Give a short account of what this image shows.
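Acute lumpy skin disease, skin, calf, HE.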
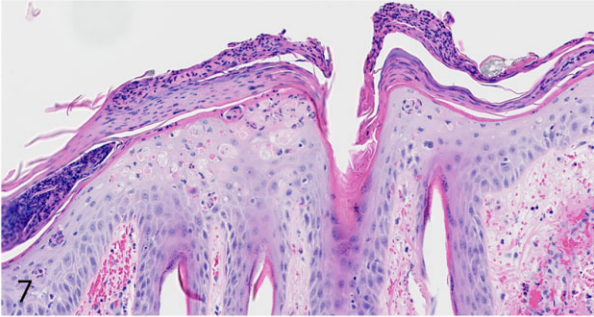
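Epidermis and superficial dermis with degeneration of keratinocytes and separation of the superficial layers. The epidermis is thickened, and many keratinocytes in its upper part are swollen with pale cytoplasm, some containing pink cytoplasmic bodies. The surface layers are lifted off, forming clefts beneath a crust that contains clusters of dark nuclei. In the dermal papillae and underlying dermis, red blood cells lie outside and within vessels, with scattered inflammatory cells.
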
